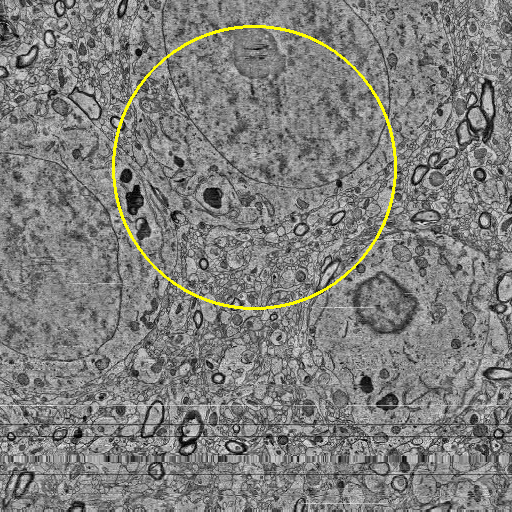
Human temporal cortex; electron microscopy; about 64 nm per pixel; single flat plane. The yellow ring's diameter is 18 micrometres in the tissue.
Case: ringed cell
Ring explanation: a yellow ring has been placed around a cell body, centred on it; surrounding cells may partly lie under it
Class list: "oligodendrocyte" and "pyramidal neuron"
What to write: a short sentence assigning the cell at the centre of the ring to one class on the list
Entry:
The cell at the ring's centre is a pyramidal neuron.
